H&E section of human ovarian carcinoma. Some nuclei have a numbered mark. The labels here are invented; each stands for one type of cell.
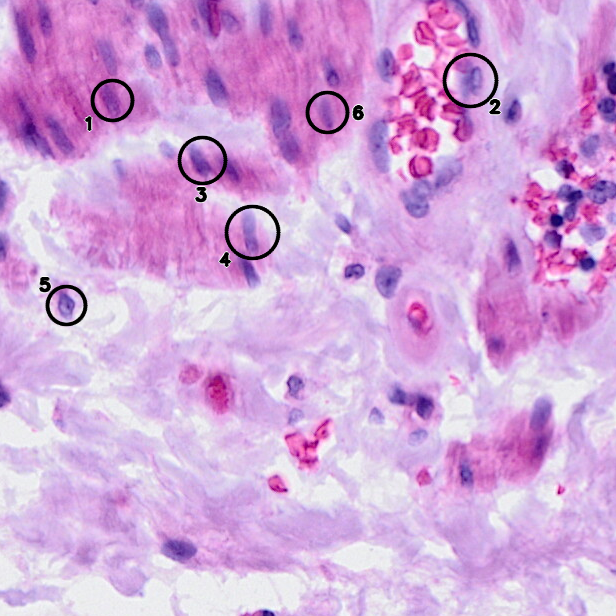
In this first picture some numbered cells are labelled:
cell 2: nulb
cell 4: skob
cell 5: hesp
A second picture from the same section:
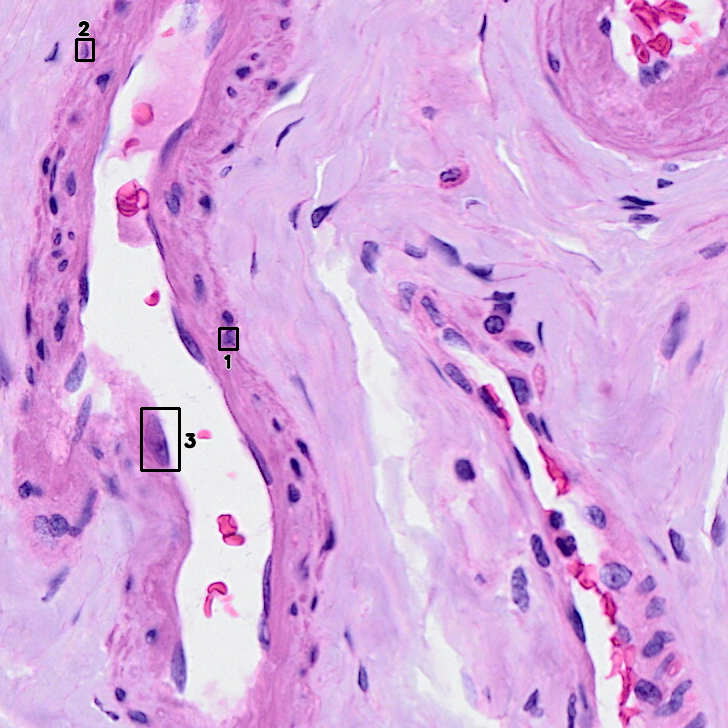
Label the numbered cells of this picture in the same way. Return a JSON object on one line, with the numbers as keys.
{"1": "skob", "2": "skob", "3": "nulb"}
